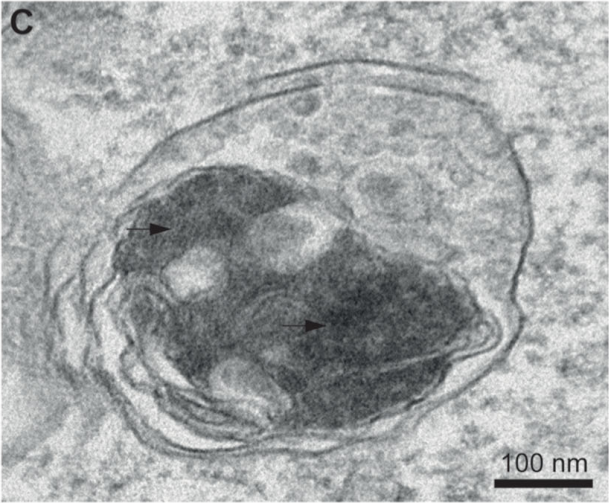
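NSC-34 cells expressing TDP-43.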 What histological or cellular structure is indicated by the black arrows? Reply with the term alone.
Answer: Non-fibrillar dense inclusions.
